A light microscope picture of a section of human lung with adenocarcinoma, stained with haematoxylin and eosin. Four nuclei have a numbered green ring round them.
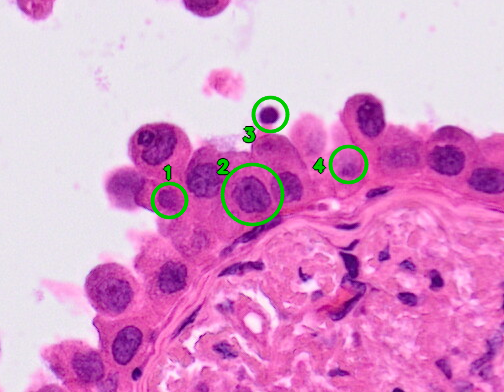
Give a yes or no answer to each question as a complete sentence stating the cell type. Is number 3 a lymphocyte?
Yes, the cell indicated by number 3 is a lymphocyte.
